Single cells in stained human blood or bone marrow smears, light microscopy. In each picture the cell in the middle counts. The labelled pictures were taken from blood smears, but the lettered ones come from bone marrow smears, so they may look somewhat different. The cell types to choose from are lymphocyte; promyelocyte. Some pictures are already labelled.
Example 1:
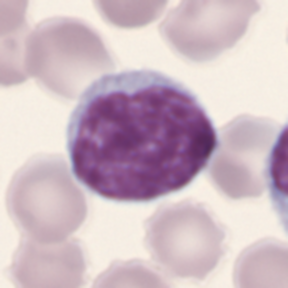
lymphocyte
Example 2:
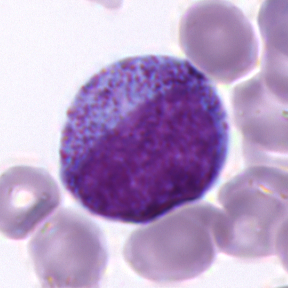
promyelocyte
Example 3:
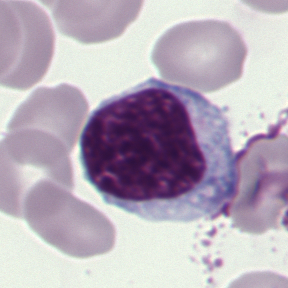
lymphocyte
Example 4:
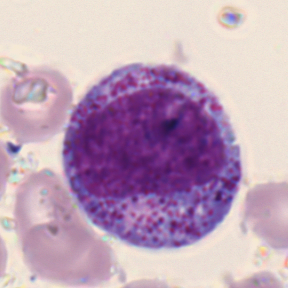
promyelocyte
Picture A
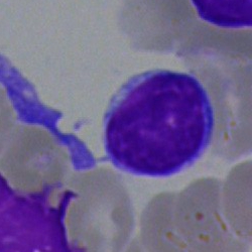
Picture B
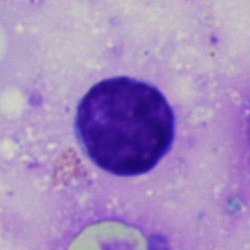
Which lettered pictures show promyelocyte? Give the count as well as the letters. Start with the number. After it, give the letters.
0, none of them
